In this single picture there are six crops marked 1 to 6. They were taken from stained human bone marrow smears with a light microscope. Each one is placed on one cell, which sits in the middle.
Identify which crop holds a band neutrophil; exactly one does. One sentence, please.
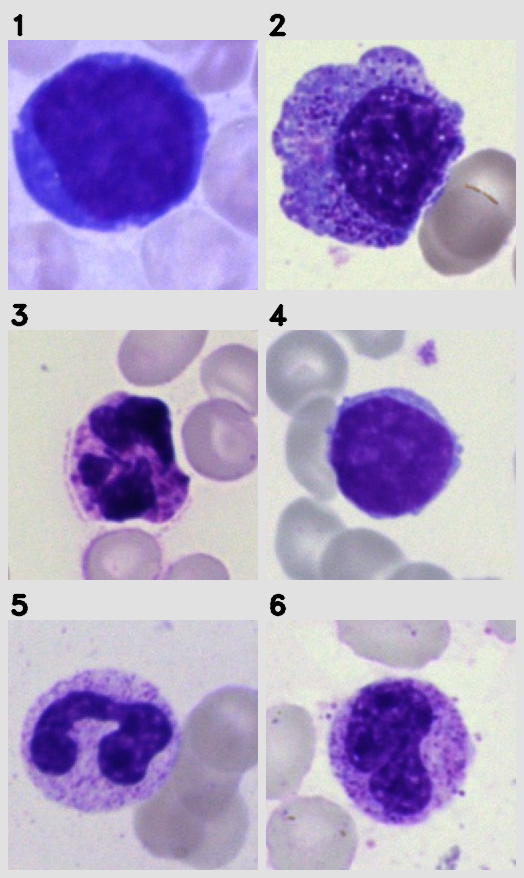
Of the crops shown, crop 6 depicts a band neutrophil.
